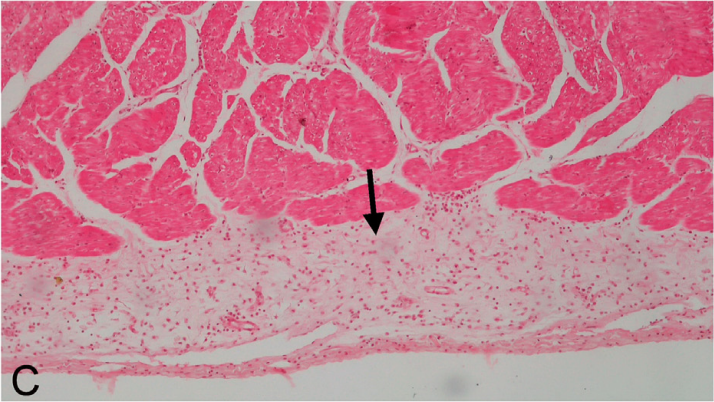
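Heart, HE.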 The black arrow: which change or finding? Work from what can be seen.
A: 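A broad pale layer with scattered small nuclei lies on the surface of the pink heart muscle. The layer is much thicker than a normal thin serosal covering.
Conclusion: Thickening of the pericardia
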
